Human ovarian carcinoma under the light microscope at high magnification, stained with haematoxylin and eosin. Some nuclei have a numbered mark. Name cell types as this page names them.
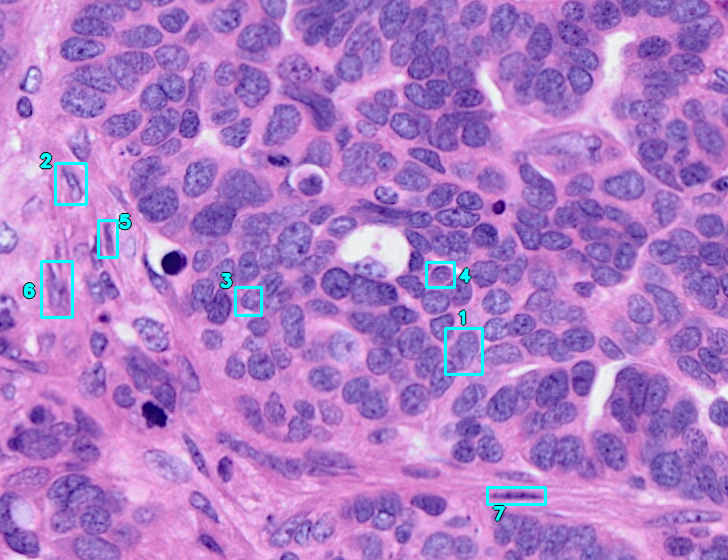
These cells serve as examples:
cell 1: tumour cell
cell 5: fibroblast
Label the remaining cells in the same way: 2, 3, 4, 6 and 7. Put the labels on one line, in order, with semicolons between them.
fibroblast; tumour cell; tumour cell; fibroblast; fibroblast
